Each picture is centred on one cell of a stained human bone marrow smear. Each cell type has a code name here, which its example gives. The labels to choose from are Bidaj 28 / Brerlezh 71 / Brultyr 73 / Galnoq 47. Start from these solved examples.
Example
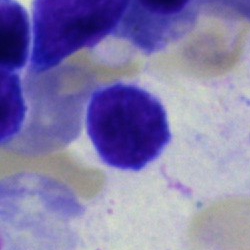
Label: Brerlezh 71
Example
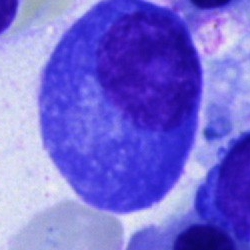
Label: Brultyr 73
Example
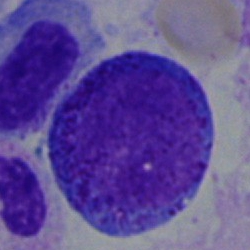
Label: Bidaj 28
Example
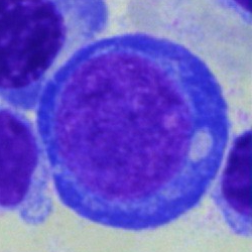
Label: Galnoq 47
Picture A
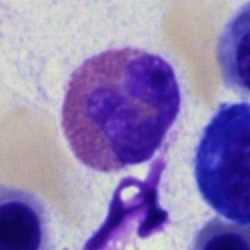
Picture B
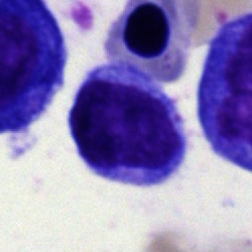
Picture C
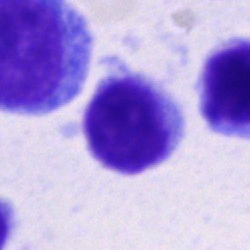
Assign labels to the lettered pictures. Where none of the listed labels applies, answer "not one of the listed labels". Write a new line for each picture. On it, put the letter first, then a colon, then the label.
A: not one of the listed labels
B: Brerlezh 71
C: Brerlezh 71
